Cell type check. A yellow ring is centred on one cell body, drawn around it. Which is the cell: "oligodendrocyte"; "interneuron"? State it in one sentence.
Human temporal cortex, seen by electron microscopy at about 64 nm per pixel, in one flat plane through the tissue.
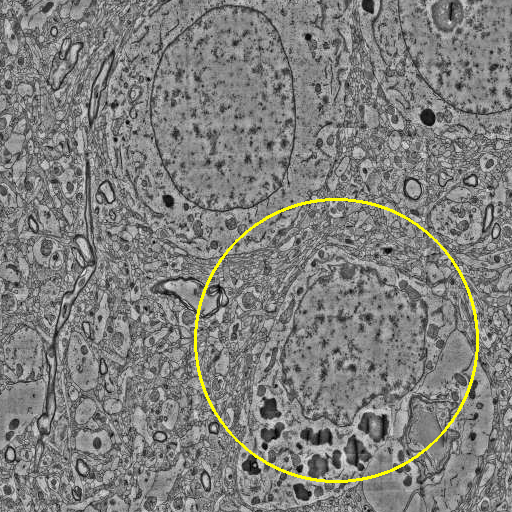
The cell body at the ring's centre belongs to an interneuron.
